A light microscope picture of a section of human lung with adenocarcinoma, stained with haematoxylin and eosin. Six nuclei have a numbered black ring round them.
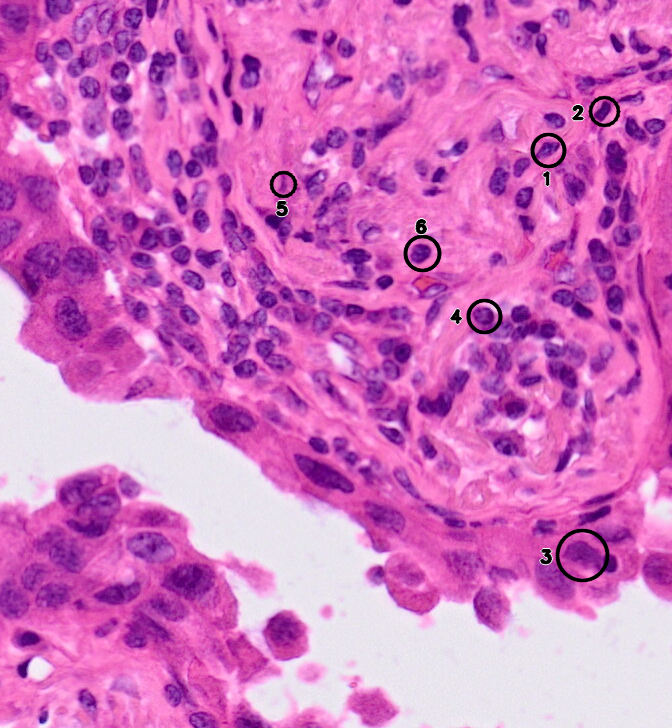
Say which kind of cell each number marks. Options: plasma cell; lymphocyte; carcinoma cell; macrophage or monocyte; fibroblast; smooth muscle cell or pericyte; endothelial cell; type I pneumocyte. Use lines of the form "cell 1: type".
cell 1: lymphocyte
cell 2: plasma cell
cell 3: carcinoma cell
cell 4: plasma cell
cell 5: plasma cell
cell 6: lymphocyte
